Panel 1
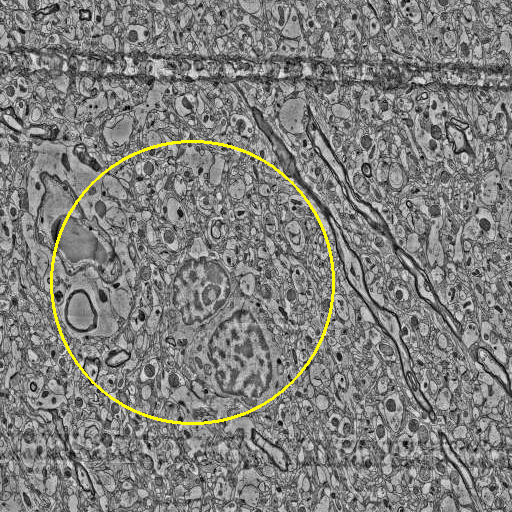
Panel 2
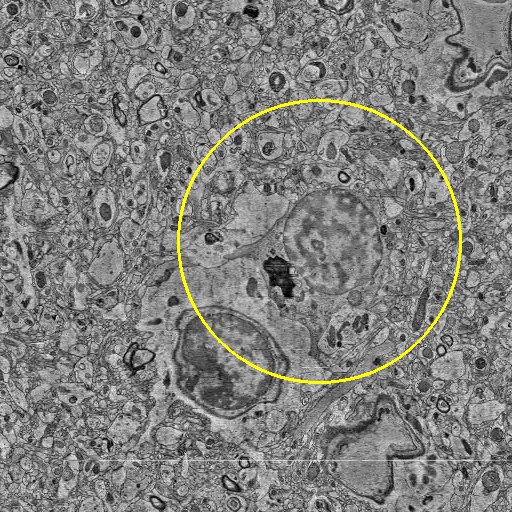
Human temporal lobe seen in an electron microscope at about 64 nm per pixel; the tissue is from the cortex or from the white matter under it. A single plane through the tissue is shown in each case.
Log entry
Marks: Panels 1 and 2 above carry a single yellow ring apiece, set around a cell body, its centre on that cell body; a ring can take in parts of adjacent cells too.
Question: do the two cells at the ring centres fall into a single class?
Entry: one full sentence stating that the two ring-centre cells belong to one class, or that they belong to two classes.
The two ring-centre cells in Panels 1 and 2 belong to one class.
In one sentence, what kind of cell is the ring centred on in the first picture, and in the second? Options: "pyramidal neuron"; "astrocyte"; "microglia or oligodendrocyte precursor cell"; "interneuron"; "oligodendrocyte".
The second cell is an oligodendrocyte, just as the first is.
